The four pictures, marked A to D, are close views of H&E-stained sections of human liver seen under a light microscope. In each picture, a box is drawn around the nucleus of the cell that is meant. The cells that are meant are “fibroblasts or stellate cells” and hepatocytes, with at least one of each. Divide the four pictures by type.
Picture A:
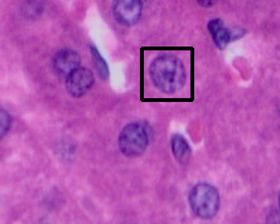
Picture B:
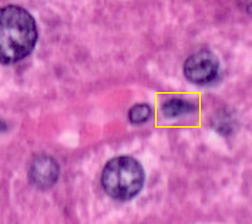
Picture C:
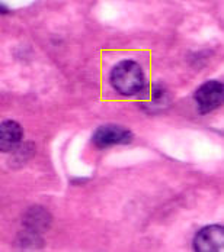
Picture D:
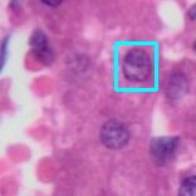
A: hepatocyte
B: fibroblast or stellate cell
C: hepatocyte
D: hepatocyte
